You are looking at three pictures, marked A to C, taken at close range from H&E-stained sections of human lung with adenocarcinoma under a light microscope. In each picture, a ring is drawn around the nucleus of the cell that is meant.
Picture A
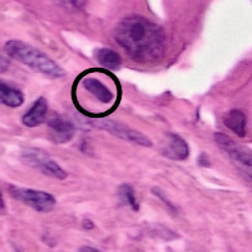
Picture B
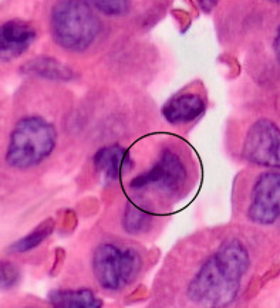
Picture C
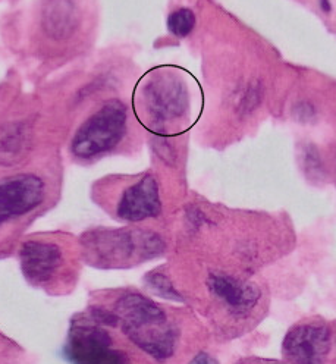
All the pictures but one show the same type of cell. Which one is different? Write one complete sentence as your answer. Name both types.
Picture A differs, because its cell is a lymphocyte and the rest are carcinoma cells.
